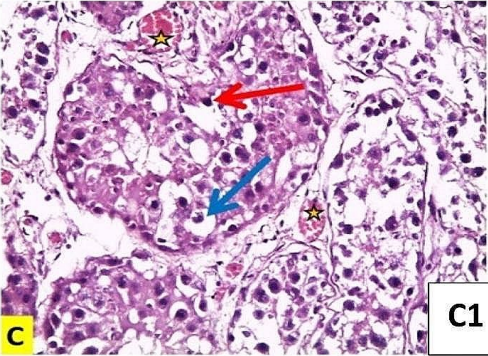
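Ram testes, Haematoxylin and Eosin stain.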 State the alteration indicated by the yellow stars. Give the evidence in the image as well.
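The stars sit on spaces between the tubules. These spaces are packed with small red-pink cells.
Conclusion: congestion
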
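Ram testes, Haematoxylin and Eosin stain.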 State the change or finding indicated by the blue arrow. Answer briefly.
Vacuolated lining epithelial cells with pyknotic nucleus.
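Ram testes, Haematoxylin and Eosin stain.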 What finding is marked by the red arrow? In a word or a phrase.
desquamated necrotic cells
